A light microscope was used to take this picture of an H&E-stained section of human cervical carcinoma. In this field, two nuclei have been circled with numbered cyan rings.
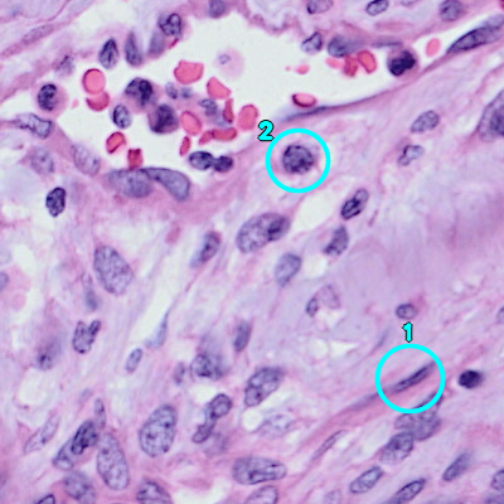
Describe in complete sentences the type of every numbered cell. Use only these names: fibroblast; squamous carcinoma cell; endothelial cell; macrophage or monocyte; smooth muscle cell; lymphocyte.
Cell 1 is an endothelial cell and cell 2 is a lymphocyte.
